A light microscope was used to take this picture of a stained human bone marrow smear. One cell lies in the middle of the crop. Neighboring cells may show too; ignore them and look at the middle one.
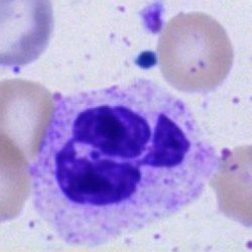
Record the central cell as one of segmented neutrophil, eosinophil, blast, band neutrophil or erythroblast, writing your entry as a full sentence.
At the crop's centre, the cell is a segmented neutrophil.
